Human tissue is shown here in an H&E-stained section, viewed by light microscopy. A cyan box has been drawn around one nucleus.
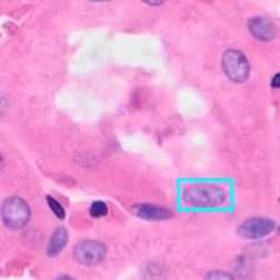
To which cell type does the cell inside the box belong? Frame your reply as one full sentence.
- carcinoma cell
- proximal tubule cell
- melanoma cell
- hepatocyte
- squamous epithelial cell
As a matter of cell type, the cell inside the box is a proximal tubule cell.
